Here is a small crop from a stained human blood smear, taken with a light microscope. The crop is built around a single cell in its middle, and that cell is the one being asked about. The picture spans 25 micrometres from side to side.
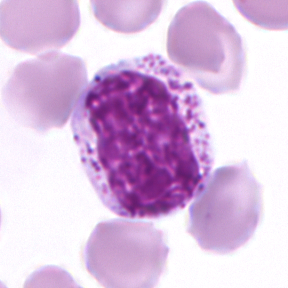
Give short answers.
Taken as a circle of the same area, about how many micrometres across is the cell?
13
